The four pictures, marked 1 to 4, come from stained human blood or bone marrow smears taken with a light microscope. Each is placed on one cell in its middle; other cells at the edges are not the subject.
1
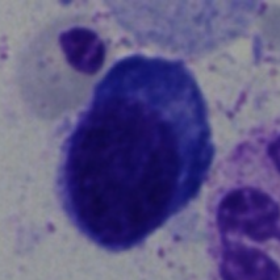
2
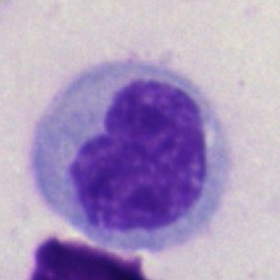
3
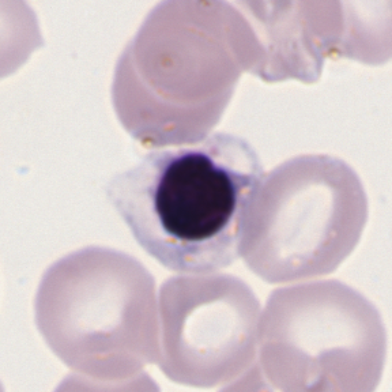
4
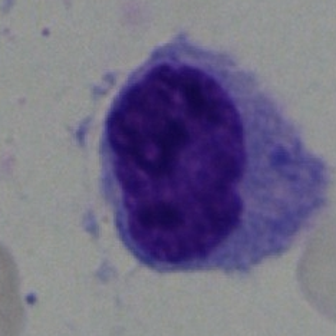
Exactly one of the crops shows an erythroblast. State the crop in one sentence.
The crop that shows an erythroblast is crop 3.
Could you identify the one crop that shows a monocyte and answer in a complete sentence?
The one crop that shows a monocyte is crop 2.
